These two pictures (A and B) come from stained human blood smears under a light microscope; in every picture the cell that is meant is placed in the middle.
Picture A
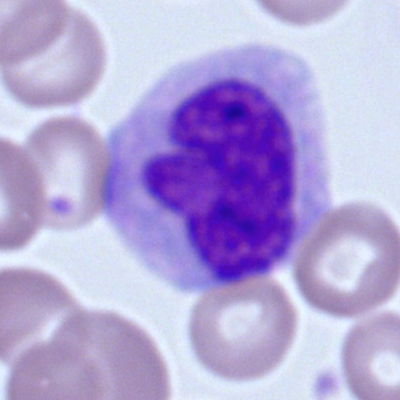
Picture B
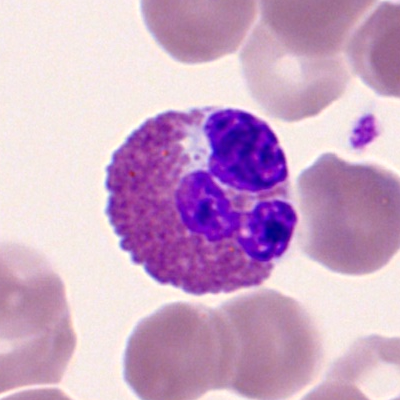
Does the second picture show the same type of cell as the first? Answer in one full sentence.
No; the cell in picture A is a monocyte, while the one in picture B is an eosinophil.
